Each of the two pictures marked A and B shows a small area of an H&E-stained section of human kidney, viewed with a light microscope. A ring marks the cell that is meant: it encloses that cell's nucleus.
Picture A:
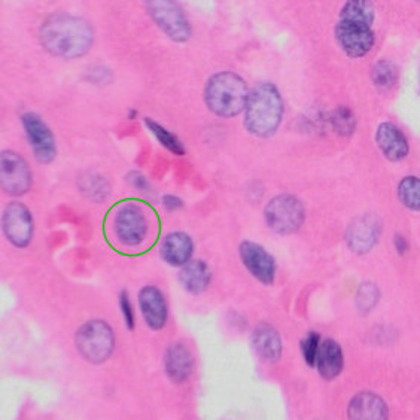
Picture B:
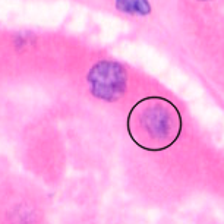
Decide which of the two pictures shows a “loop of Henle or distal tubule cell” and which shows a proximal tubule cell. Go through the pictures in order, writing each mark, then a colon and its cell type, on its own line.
A: loop of Henle or distal tubule cell
B: proximal tubule cell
